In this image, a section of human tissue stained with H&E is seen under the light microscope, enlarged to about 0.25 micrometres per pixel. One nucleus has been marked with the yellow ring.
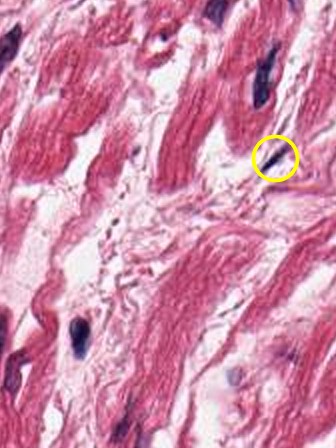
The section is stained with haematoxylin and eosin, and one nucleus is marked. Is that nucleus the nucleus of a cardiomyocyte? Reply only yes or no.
no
